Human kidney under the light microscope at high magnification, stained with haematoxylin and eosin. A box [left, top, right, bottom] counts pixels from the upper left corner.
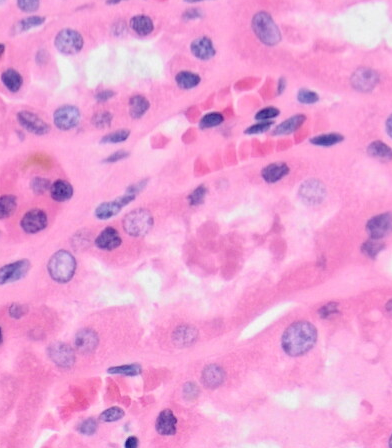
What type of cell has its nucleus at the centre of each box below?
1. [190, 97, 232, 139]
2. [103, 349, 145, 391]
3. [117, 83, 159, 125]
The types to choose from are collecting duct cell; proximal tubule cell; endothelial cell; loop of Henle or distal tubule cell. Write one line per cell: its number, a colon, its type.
1: endothelial cell
2: endothelial cell
3: loop of Henle or distal tubule cell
